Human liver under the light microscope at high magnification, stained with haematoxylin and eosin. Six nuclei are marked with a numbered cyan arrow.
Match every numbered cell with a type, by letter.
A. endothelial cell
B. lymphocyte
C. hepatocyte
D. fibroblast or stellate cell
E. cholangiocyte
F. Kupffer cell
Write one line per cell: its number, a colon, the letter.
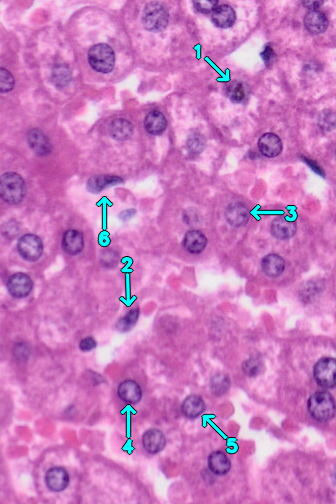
1: C
2: F
3: C
4: C
5: C
6: A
